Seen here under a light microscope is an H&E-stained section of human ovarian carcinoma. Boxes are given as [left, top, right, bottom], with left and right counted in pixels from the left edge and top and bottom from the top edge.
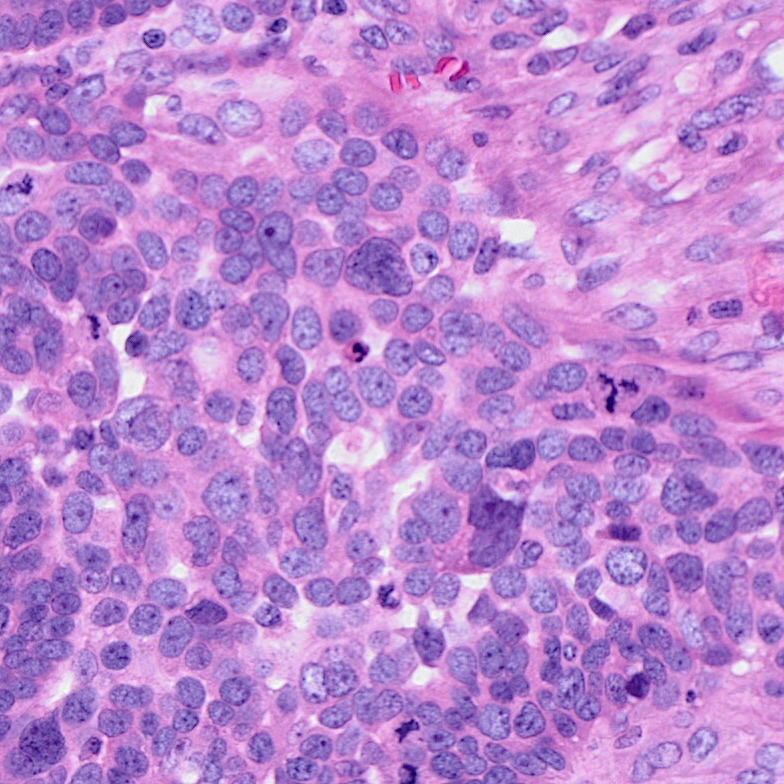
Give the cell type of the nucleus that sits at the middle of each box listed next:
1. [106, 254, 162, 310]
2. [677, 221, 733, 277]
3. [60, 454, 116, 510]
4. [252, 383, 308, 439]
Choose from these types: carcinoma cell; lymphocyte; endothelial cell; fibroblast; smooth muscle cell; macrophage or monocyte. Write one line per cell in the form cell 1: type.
cell 1: carcinoma cell
cell 2: fibroblast
cell 3: carcinoma cell
cell 4: carcinoma cell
